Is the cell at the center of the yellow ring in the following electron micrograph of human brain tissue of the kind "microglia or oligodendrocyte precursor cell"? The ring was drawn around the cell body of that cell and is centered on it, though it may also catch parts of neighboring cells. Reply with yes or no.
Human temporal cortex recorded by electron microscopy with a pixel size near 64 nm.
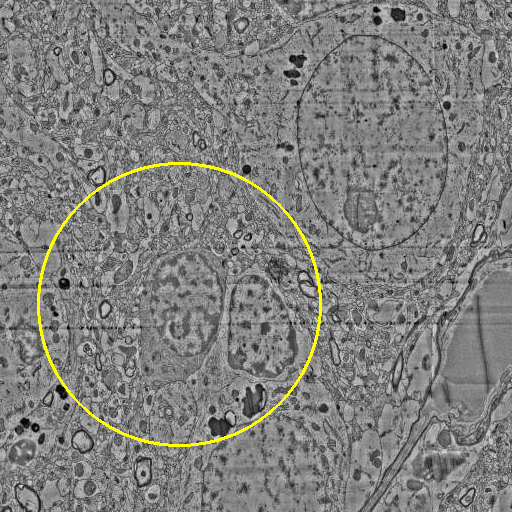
No, it is of another kind.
